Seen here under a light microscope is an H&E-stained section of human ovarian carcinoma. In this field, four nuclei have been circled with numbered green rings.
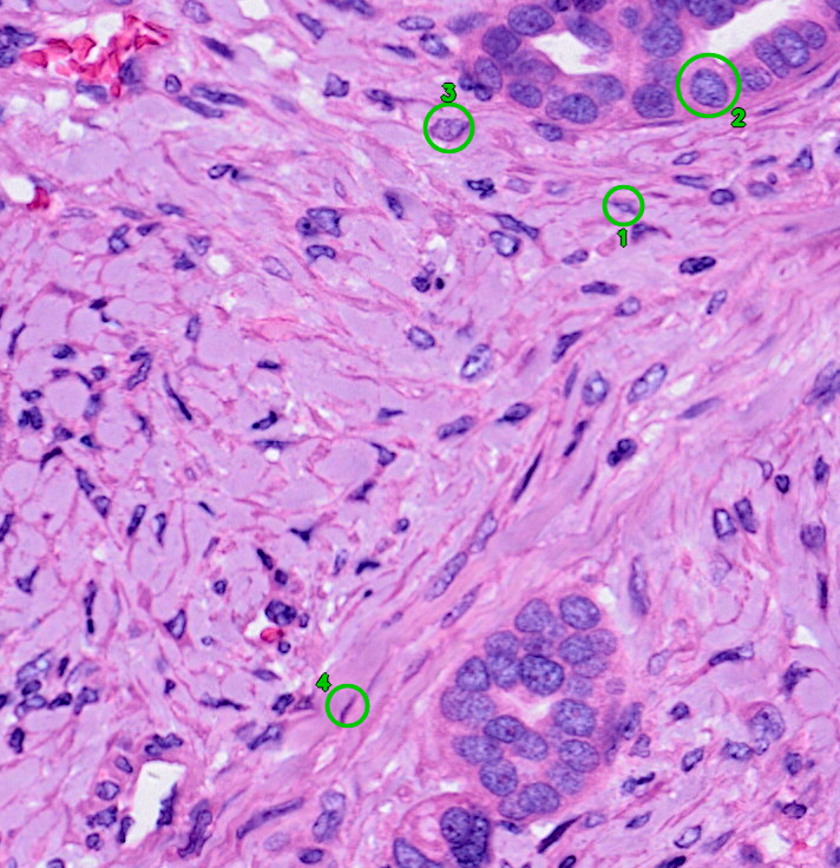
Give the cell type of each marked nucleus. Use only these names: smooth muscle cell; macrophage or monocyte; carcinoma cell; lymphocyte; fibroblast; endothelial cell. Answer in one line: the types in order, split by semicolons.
fibroblast; carcinoma cell; fibroblast; fibroblast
